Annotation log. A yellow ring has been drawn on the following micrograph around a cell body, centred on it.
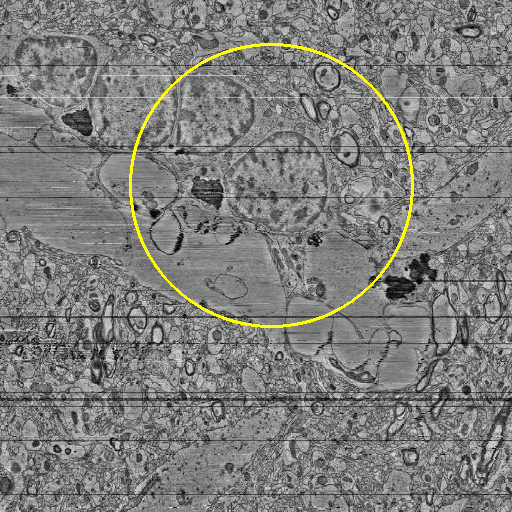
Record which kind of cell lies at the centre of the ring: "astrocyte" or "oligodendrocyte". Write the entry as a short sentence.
The cell the ring is centred on is an oligodendrocyte.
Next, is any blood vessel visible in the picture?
Yes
